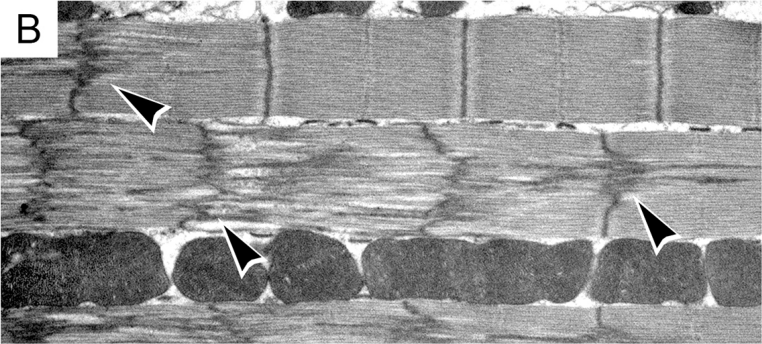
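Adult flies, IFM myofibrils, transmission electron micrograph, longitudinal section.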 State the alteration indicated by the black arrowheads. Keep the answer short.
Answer: Non-linear Z-lines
